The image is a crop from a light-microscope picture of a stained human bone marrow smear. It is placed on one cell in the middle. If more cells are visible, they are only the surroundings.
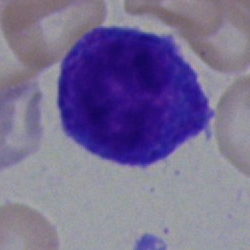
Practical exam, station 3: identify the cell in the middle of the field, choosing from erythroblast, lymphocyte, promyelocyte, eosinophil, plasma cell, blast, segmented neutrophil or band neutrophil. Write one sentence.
By classification, the middle cell of this crop is a promyelocyte.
